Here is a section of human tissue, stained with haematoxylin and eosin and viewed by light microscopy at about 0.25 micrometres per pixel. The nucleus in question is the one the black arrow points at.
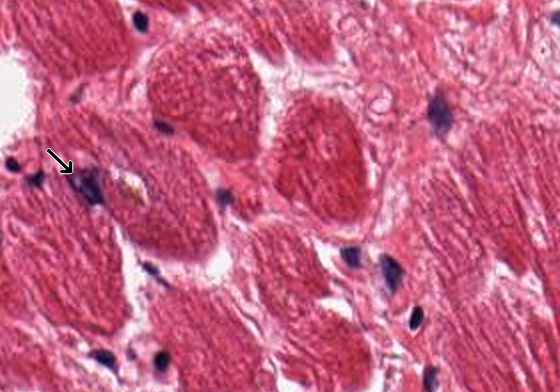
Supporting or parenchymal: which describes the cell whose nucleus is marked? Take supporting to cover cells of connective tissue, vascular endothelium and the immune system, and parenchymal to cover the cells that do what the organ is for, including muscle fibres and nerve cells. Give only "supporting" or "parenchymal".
parenchymal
